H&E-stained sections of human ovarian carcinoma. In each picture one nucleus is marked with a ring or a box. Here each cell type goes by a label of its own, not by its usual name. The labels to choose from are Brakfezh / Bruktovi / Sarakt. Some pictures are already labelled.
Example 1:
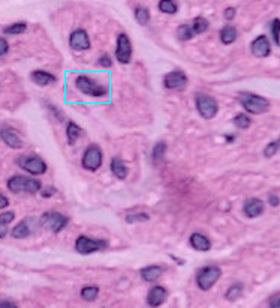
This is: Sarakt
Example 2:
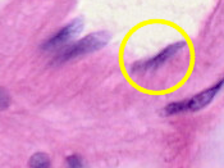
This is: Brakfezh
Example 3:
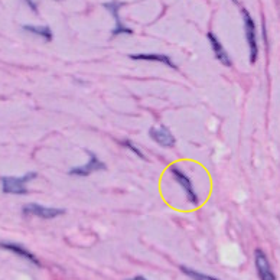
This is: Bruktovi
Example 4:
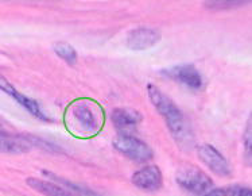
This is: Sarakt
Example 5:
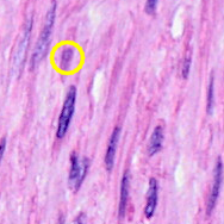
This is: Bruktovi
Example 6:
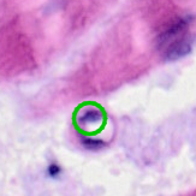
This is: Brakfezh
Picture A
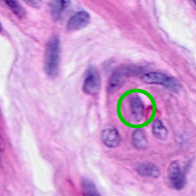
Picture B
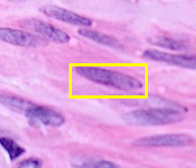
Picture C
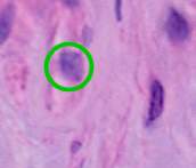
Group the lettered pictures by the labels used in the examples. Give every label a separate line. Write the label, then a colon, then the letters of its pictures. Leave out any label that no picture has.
Brakfezh: A, C
Sarakt: B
